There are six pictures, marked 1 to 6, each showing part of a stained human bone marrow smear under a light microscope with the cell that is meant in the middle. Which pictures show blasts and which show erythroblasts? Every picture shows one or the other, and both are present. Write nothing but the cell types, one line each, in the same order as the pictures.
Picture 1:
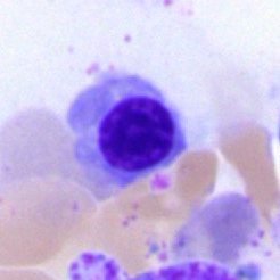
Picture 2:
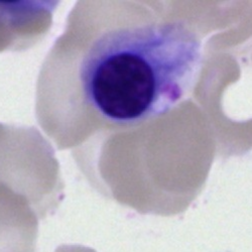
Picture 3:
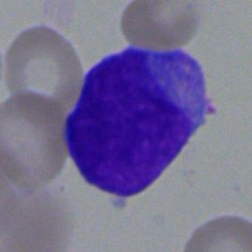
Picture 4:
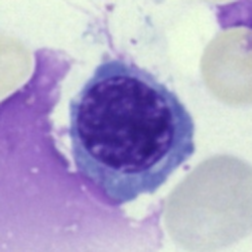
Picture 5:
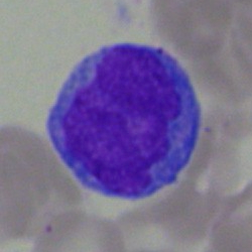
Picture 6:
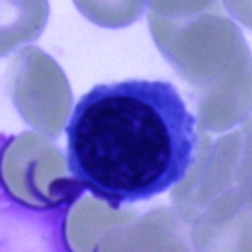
erythroblast
erythroblast
blast
erythroblast
blast
erythroblast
